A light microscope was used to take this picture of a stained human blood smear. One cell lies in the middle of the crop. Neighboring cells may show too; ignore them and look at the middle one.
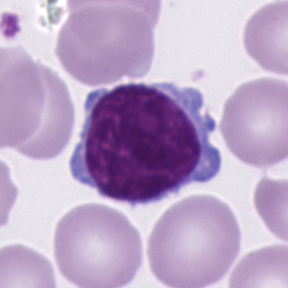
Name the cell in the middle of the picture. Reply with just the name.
typical lymphocyte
